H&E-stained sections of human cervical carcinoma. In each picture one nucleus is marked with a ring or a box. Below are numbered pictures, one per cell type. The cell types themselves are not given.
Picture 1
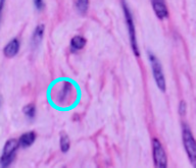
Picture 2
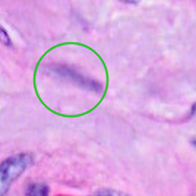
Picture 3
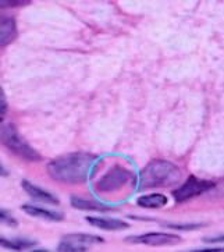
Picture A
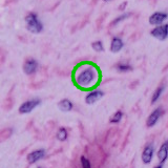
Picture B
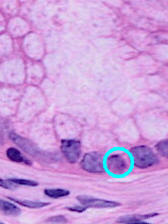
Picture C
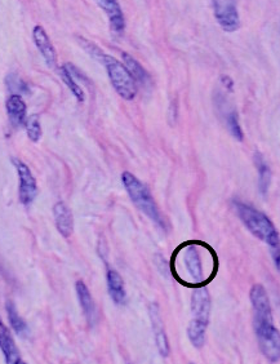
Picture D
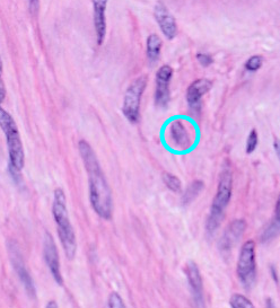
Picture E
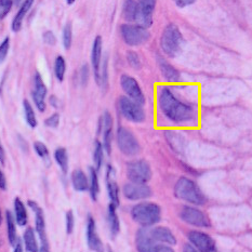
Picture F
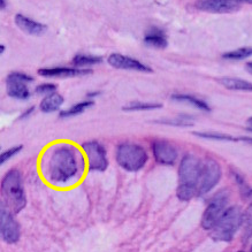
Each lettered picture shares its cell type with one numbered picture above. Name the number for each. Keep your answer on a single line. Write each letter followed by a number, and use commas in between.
A 1, B 3, C 1, D 1, E 3, F 3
